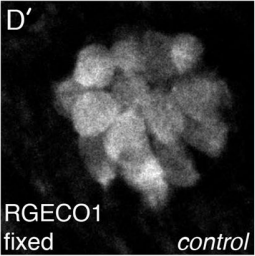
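The cells are rounded to oval and fill a compact, roughly circular cluster. Their cytoplasm is evenly filled, with brighter and dimmer cells side by side. Cell borders are visible as thin darker lines between neighbours. The surrounding field is dark.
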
